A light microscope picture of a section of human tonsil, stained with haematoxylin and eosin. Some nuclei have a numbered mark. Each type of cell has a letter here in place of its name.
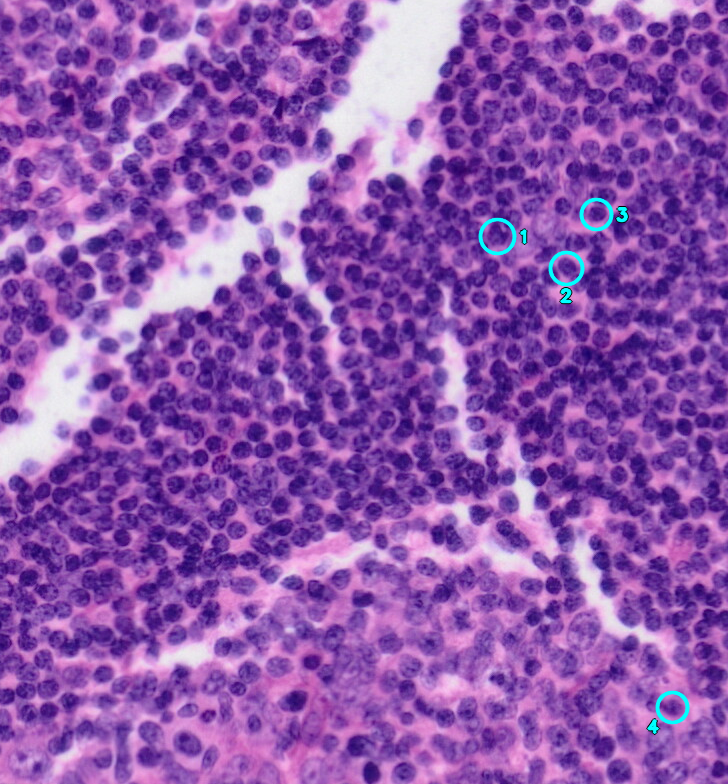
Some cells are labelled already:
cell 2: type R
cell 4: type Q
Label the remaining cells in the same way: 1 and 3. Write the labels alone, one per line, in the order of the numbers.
type R
type R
